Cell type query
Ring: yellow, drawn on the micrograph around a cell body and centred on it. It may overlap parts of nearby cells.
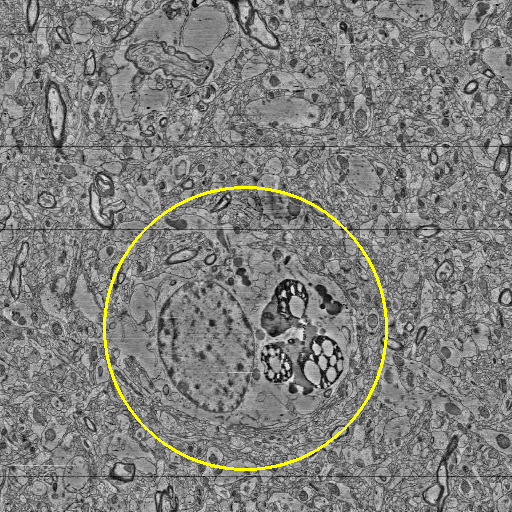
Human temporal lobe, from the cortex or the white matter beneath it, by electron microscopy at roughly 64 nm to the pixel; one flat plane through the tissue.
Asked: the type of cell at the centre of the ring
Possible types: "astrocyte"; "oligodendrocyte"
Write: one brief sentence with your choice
The ring marks an astrocyte.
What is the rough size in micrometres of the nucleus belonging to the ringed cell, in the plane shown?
The nucleus comes to roughly 9 by 6 micrometres in this plane.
